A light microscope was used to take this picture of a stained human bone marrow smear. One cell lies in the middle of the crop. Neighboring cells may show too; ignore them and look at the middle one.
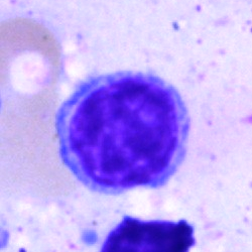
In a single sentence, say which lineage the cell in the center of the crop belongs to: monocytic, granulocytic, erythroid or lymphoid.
The cell sitting in the middle of this crop is of the lymphoid line.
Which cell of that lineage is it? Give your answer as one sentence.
The cell under consideration, at the middle of the crop, is a lymphocyte.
